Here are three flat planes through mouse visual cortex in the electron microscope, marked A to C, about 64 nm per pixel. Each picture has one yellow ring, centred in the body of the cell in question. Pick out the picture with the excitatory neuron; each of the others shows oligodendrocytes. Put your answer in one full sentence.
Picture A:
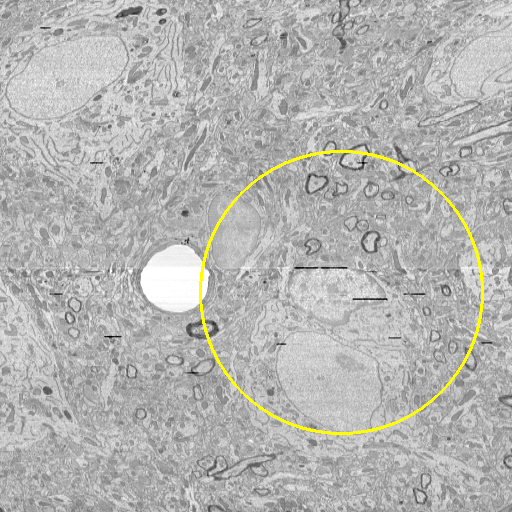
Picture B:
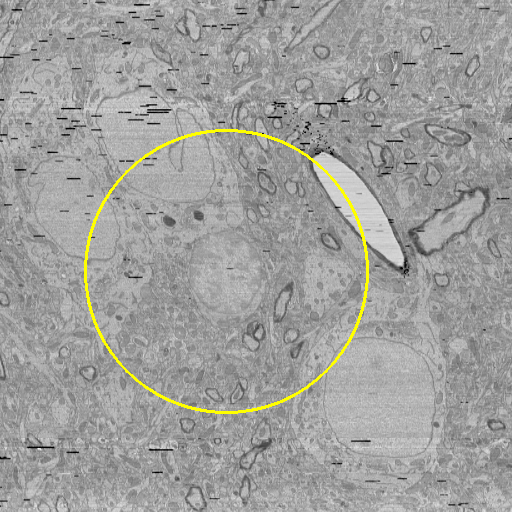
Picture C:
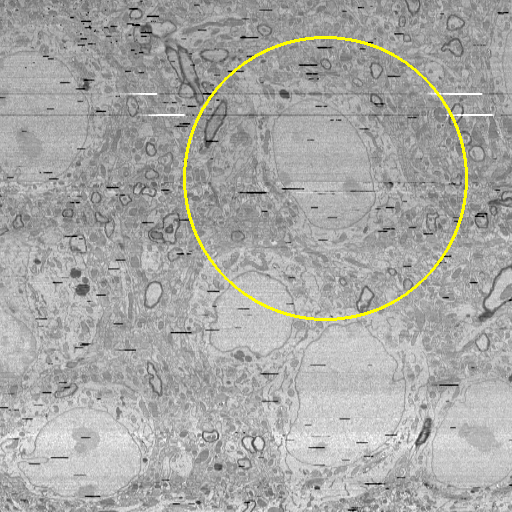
Picture C shows the excitatory neuron.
